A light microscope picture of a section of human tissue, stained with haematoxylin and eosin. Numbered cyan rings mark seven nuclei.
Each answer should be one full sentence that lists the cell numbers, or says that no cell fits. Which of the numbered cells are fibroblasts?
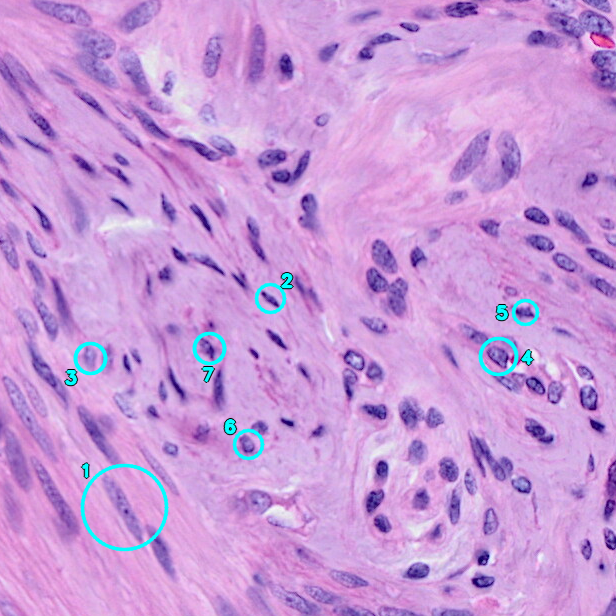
The cells referred to by the numbers 1 and 2 are fibroblasts.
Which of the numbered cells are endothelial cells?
Exactly one numbered cell is an endothelial cell, and that cell is number 4.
